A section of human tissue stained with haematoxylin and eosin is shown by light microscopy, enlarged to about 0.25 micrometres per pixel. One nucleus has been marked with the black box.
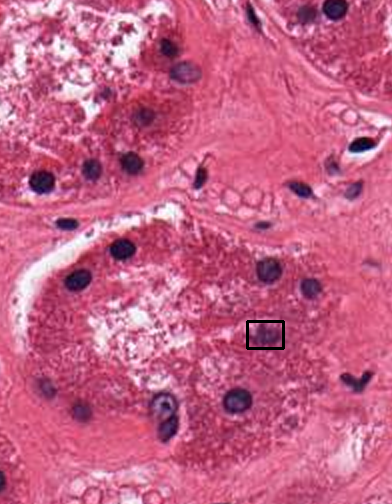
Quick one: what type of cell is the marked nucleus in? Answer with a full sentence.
Belonging to a proximal tubule cell is the marked nucleus.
